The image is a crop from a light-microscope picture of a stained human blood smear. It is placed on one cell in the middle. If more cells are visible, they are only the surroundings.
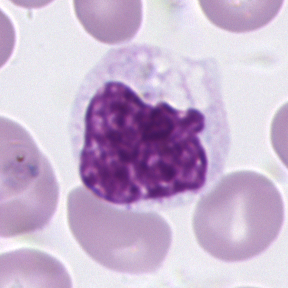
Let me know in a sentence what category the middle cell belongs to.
Here the cell in the middle is a segmented neutrophil.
